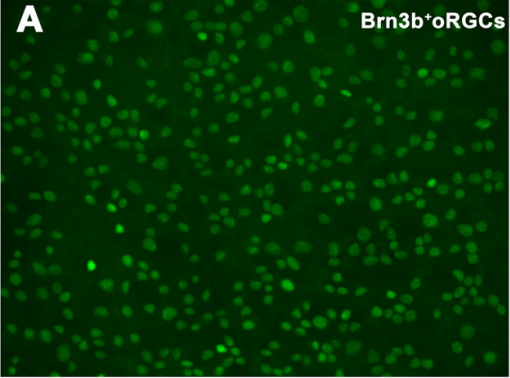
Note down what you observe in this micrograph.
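Flat-mounted retina, ganglion cell layer, viewed en face with many labelled nuclei. Round to oval nuclei fluoresce green against a dark background. They are densely and fairly evenly spread across the whole field in a single plane, mostly separate from one another, with only occasional touching pairs. Nuclear size is roughly uniform, though a few are smaller. Brightness varies: most nuclei are moderately green, while a scattered minority are distinctly brighter. No cytoplasm or processes are outlined. Only the nuclear fluorescence is visible, so the cells' shapes cannot be judged.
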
